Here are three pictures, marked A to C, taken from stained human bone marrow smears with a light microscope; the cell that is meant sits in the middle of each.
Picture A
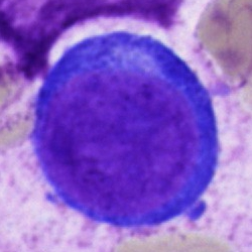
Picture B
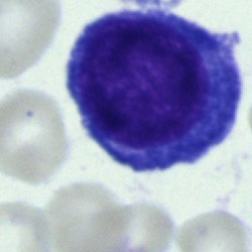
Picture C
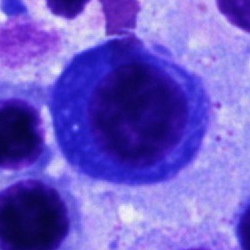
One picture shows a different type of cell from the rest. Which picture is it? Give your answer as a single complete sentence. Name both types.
Picture C differs, because its cell is a plasma cell and the rest are proerythroblasts.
